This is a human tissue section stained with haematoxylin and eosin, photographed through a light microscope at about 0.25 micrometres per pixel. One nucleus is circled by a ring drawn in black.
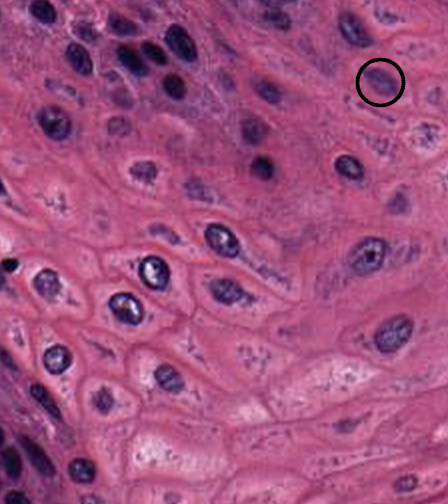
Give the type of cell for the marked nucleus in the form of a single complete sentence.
It is to a squamous epithelial cell that the marked nucleus belongs.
